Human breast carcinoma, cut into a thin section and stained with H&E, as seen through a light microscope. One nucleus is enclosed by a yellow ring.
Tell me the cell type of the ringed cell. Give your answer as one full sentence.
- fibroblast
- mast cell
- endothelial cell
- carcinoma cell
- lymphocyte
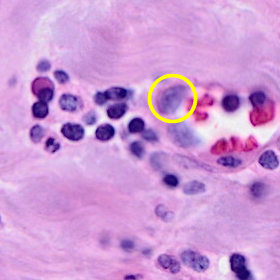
It is as an endothelial cell that the ringed cell is recorded.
